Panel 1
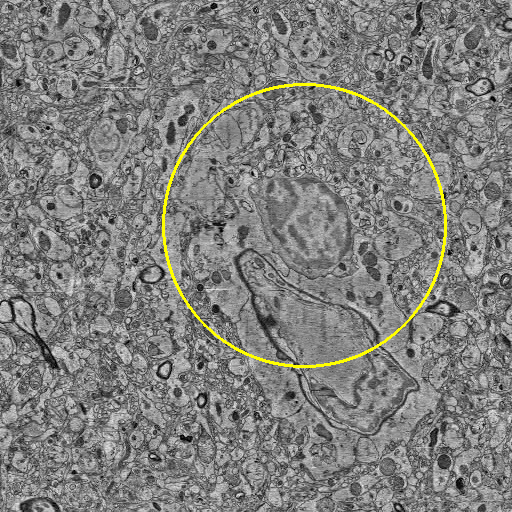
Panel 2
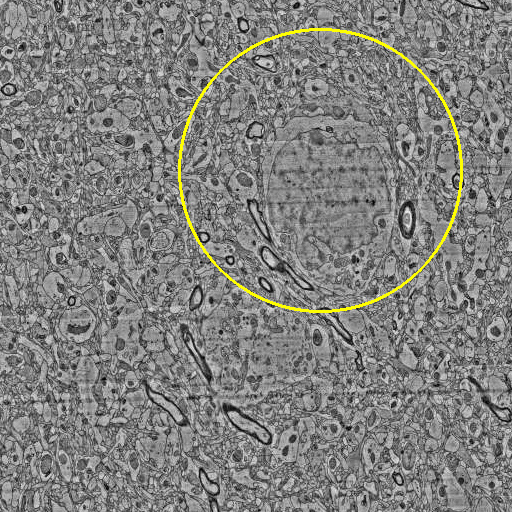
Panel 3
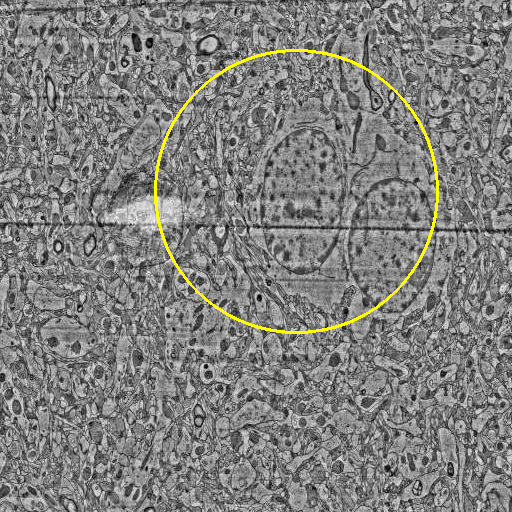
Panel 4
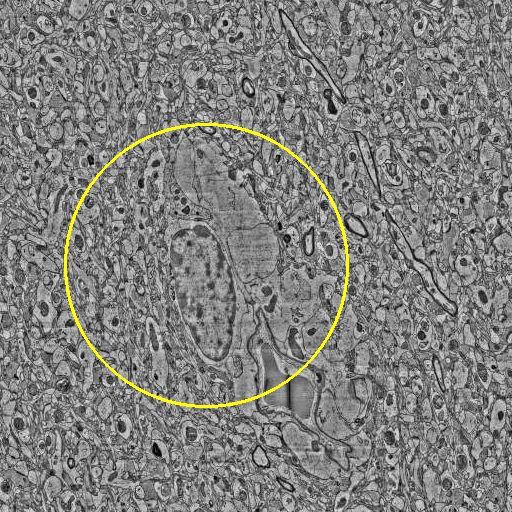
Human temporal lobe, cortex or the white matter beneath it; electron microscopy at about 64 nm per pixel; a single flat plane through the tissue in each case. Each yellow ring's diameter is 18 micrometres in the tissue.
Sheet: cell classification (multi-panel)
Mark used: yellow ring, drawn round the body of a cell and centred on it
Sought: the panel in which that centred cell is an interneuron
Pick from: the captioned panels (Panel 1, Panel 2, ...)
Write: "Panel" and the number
Panel 2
